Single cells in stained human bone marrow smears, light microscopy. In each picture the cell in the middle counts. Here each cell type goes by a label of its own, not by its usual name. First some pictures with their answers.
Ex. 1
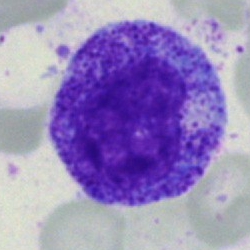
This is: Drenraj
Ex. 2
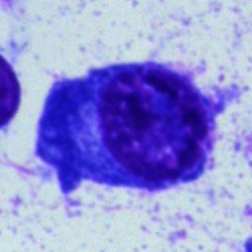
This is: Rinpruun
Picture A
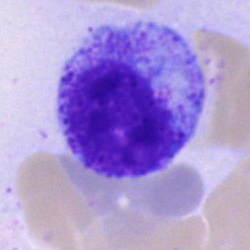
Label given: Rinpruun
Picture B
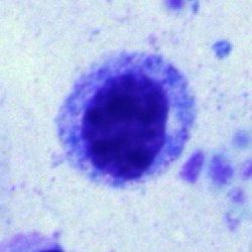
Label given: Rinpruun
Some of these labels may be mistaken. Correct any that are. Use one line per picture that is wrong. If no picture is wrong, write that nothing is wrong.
A: change Rinpruun to Drenraj
B: change Rinpruun to Drenraj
